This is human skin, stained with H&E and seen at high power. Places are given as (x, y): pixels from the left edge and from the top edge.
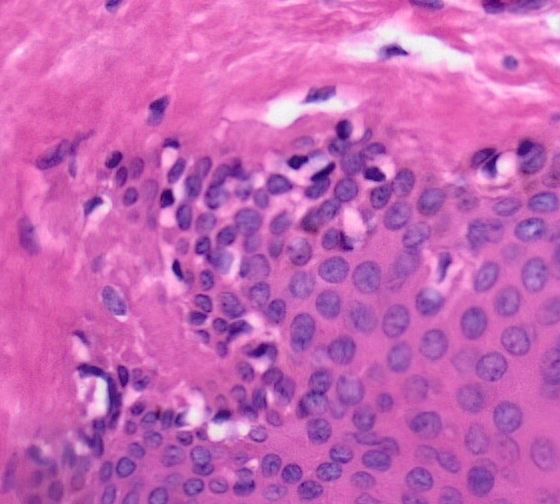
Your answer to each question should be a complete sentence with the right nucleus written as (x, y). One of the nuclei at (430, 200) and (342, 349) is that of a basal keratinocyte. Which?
The nucleus at position (430, 200) belongs to a basal keratinocyte.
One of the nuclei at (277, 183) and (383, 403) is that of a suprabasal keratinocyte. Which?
The nucleus at (383, 403) is identified as belonging to a suprabasal keratinocyte.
